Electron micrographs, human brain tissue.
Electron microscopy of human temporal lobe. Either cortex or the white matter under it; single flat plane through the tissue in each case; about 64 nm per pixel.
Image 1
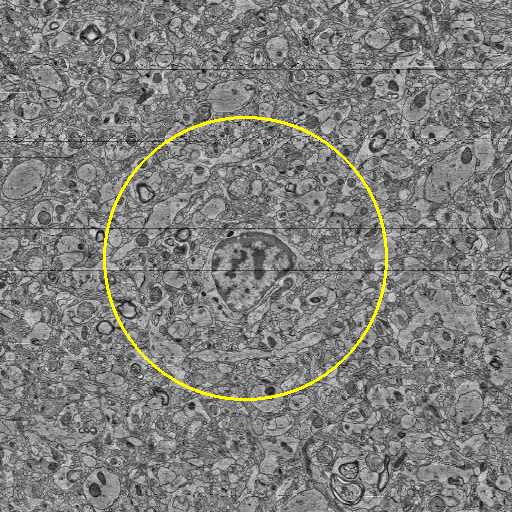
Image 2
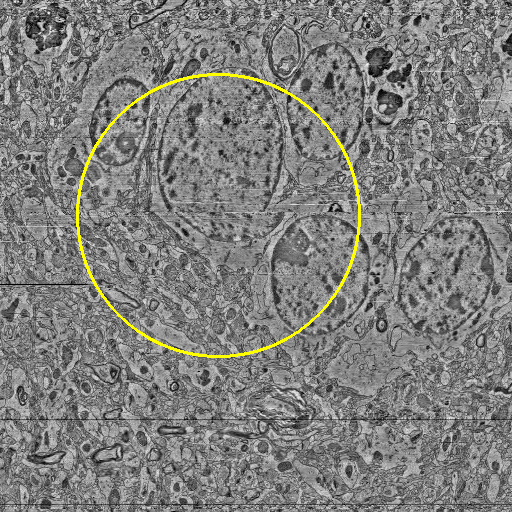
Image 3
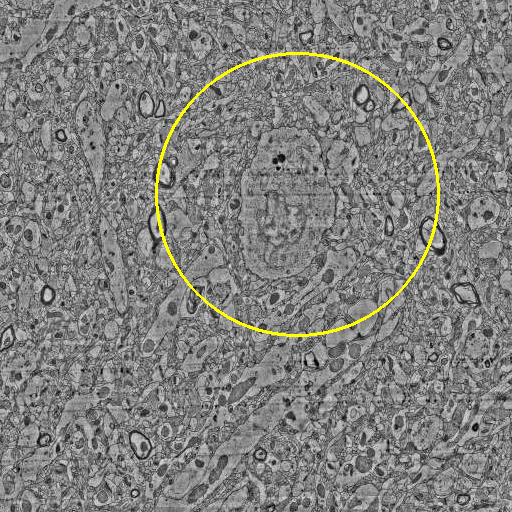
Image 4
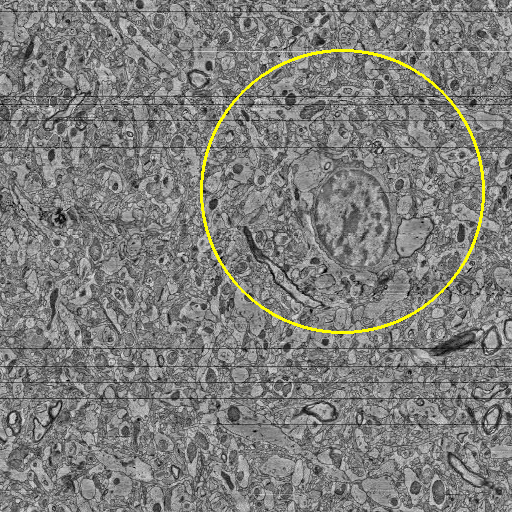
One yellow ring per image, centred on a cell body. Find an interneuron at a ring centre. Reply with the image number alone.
3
